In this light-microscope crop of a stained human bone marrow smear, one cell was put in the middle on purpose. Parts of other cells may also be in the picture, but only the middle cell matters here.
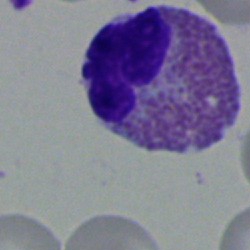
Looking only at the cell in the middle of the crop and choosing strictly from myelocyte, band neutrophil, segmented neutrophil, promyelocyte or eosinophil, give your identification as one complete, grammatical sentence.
The middle position in this crop is taken by an eosinophil.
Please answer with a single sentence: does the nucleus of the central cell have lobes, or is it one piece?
The nucleus has been partitioned into two or more lobes.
